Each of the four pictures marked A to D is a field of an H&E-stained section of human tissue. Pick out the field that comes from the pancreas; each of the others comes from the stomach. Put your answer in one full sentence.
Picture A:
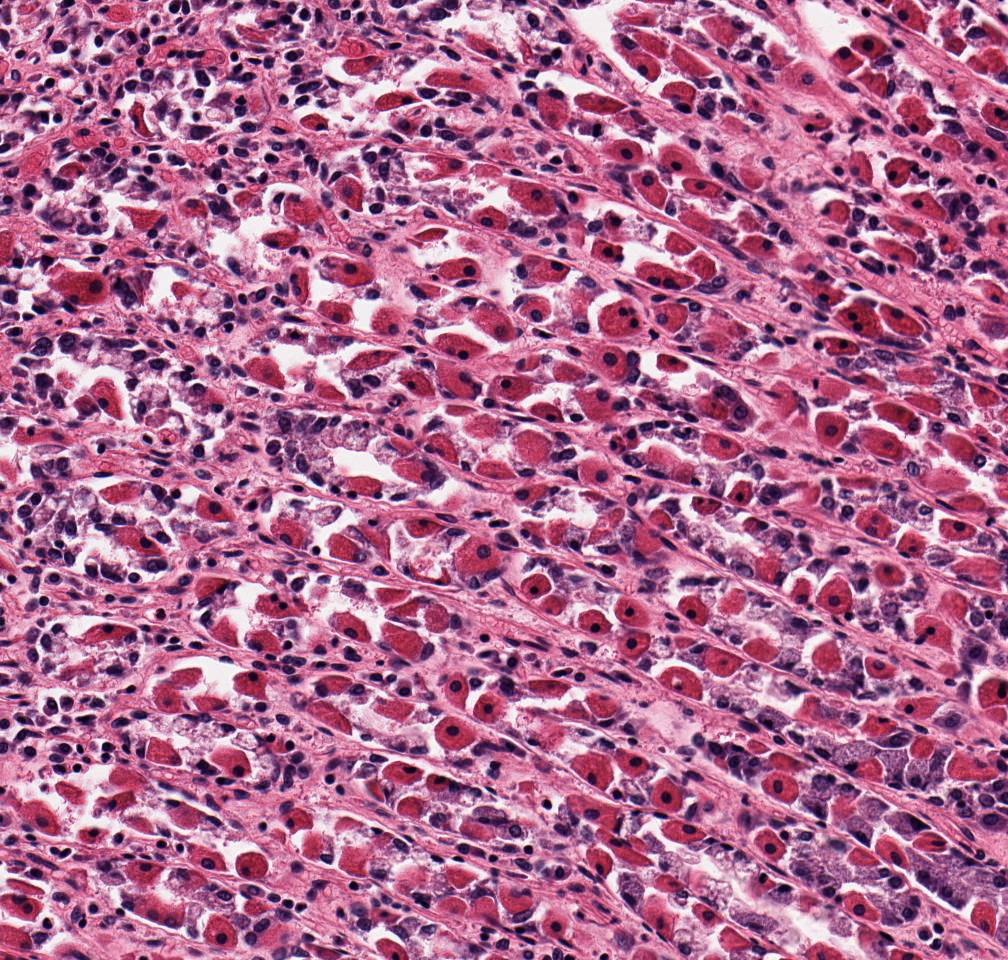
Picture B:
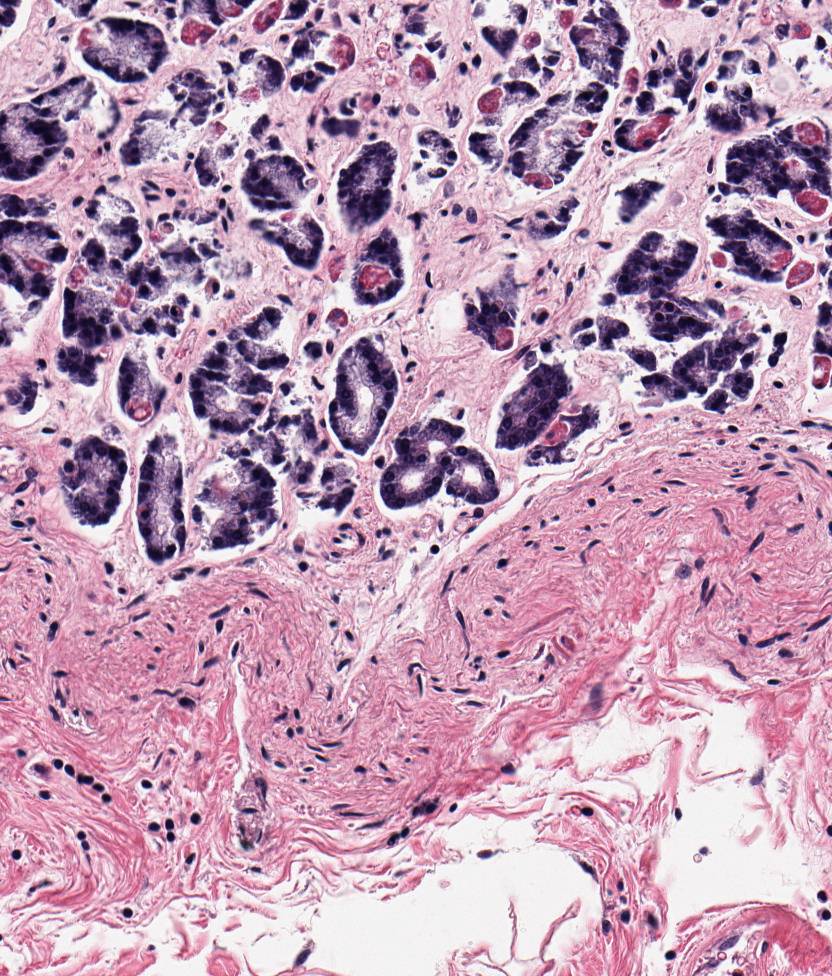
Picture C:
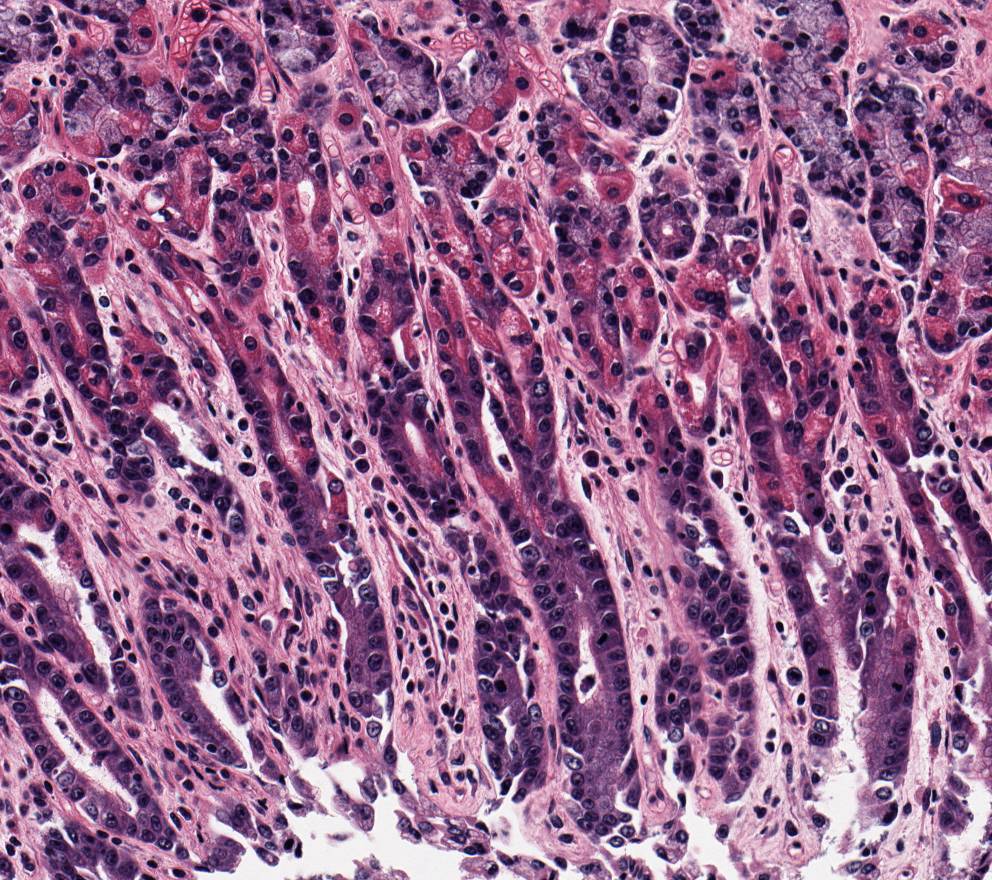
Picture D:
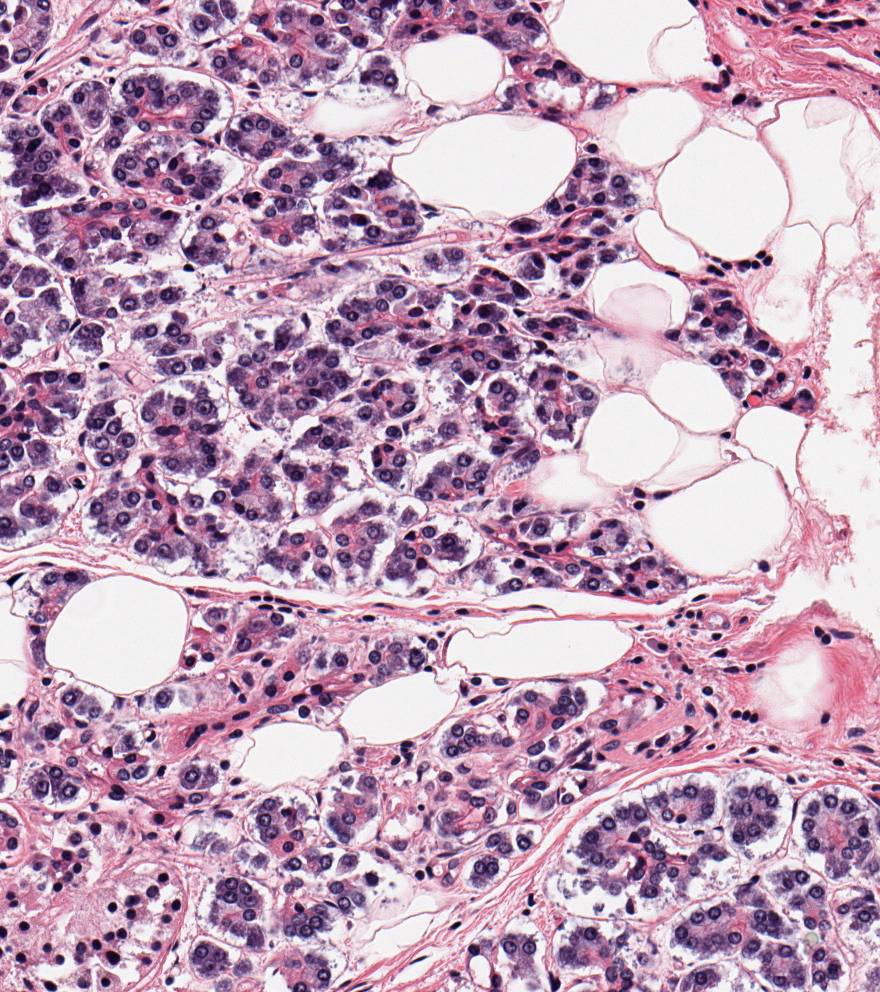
It is picture D that comes from the pancreas.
